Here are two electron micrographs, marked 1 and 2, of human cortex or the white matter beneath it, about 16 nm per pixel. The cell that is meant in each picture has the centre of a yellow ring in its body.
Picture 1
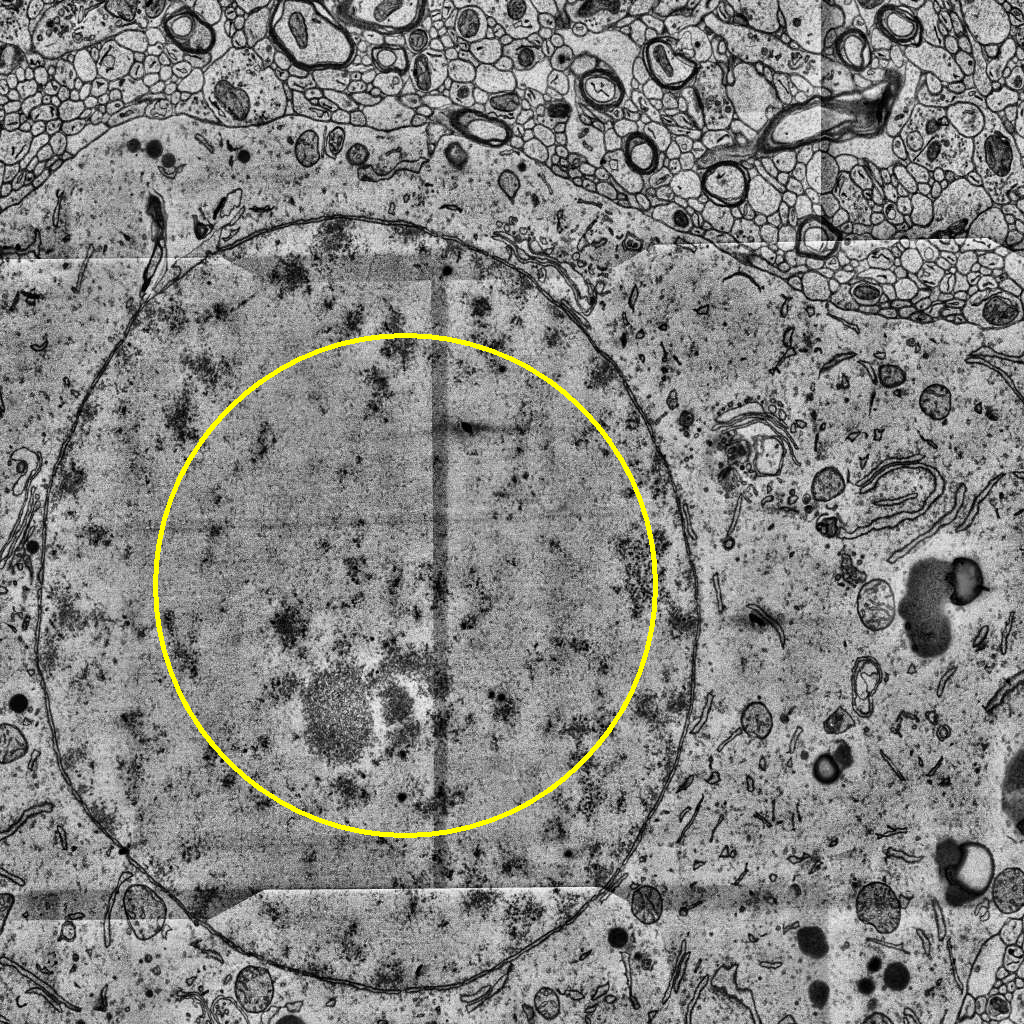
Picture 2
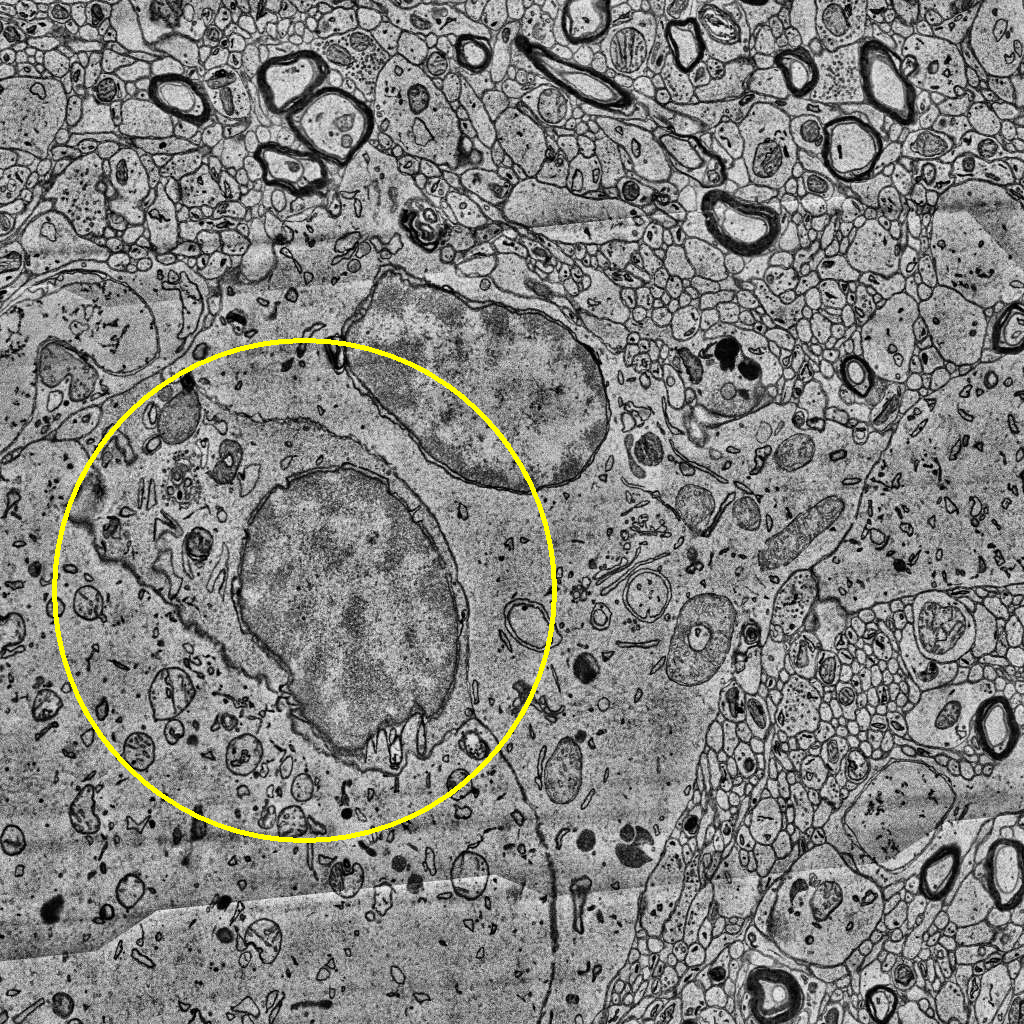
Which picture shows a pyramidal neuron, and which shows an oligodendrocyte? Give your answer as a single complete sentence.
Picture 1 shows a pyramidal neuron and picture 2 shows an oligodendrocyte.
